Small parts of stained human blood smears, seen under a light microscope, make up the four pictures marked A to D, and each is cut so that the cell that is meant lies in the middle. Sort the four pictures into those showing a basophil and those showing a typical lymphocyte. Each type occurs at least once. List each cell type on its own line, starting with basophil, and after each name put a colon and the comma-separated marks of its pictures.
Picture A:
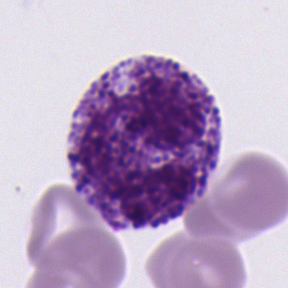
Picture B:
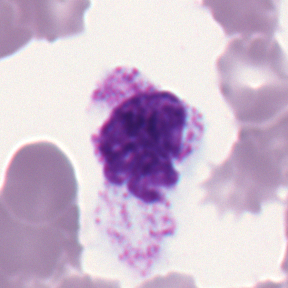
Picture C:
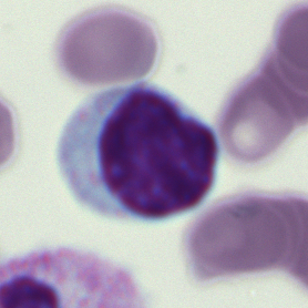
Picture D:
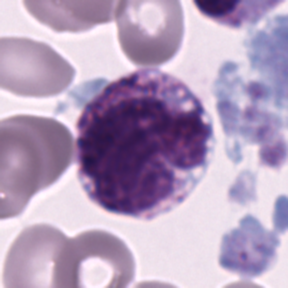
basophil: A, B, D
typical lymphocyte: C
